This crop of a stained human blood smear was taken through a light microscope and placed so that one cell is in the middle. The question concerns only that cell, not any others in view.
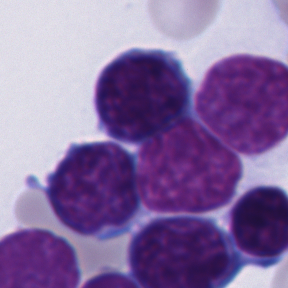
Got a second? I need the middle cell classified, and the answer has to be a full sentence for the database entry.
For this crop, the cell in the middle is a myeloblast.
